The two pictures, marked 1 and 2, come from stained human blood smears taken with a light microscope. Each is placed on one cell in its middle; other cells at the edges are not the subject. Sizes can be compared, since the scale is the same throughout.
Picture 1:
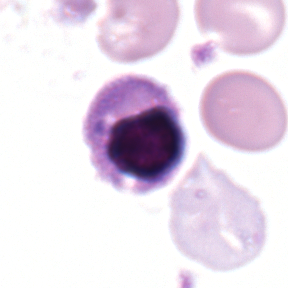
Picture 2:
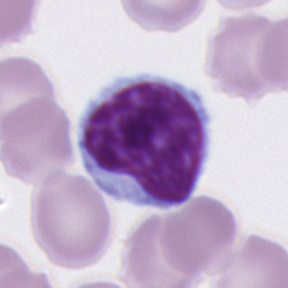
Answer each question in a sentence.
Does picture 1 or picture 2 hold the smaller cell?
The cell in picture 1 is smaller; the one in picture 2 has about 1.5 times its area.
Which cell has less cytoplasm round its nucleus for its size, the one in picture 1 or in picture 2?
It is the cell in picture 2 that is filled more by its nucleus.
